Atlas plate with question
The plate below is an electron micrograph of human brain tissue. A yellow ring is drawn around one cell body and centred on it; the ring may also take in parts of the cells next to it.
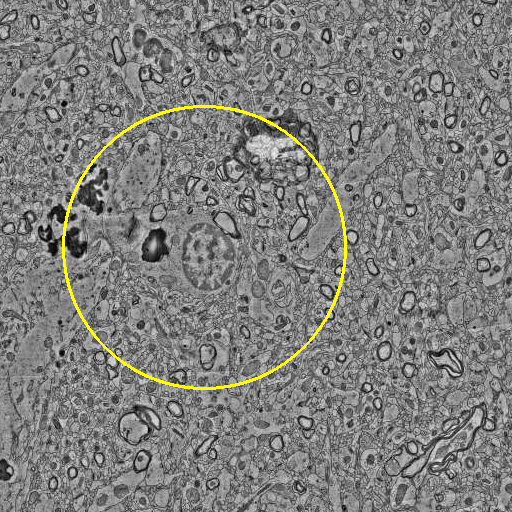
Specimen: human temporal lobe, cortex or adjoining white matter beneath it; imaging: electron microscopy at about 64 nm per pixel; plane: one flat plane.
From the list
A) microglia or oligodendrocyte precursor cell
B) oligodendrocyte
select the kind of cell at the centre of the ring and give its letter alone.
B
